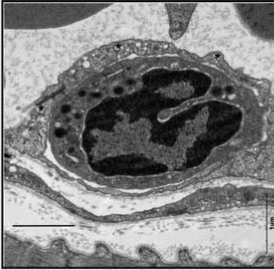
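A neutrophil lies within the wall of a small vessel, between the lumen above and the interstitium below. It has a lobed nucleus with dense, dark chromatin and a cytoplasm with scattered dark granules. A thin endothelial sheet arches over its luminal side, so that the cell sits enclosed beneath it. Beneath the cell lie thin layers of the vessel wall and the interstitial tissue.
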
